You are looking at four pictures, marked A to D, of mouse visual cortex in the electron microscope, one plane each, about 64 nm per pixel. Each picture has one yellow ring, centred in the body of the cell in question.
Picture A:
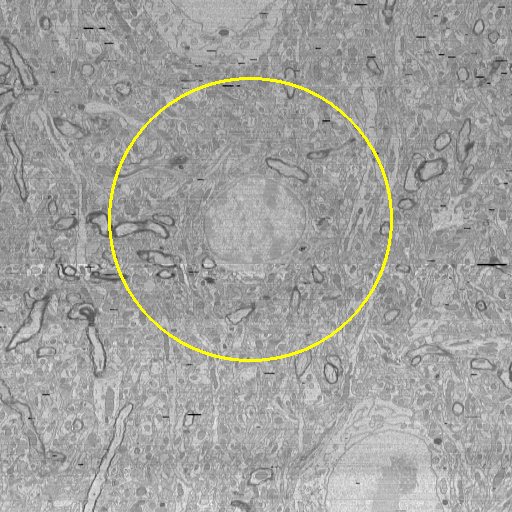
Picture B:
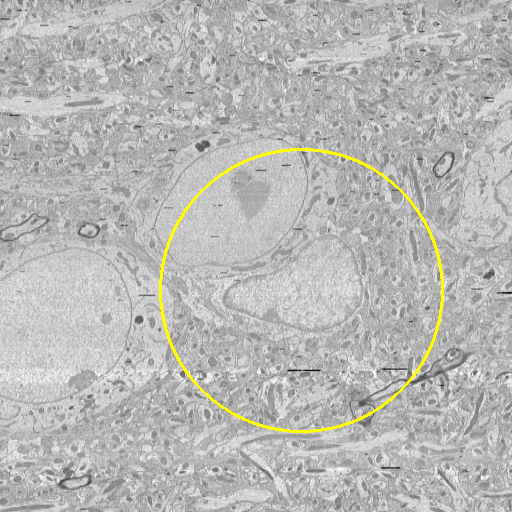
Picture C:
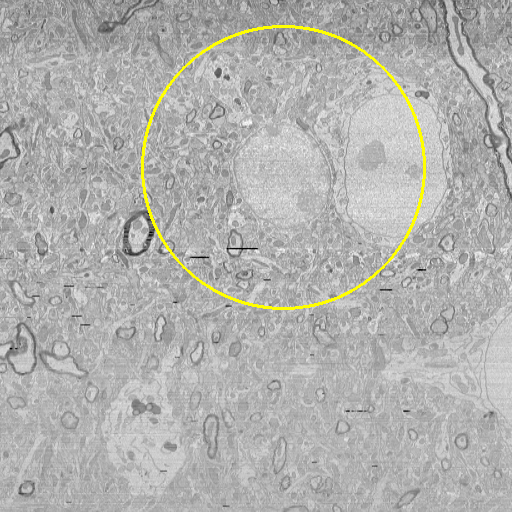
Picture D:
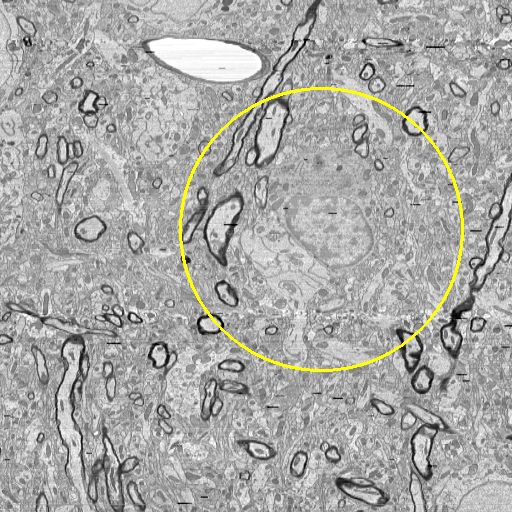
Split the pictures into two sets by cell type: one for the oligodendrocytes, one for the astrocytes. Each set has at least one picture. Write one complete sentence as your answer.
Pictures A and D show oligodendrocytes; pictures B and C show astrocytes.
